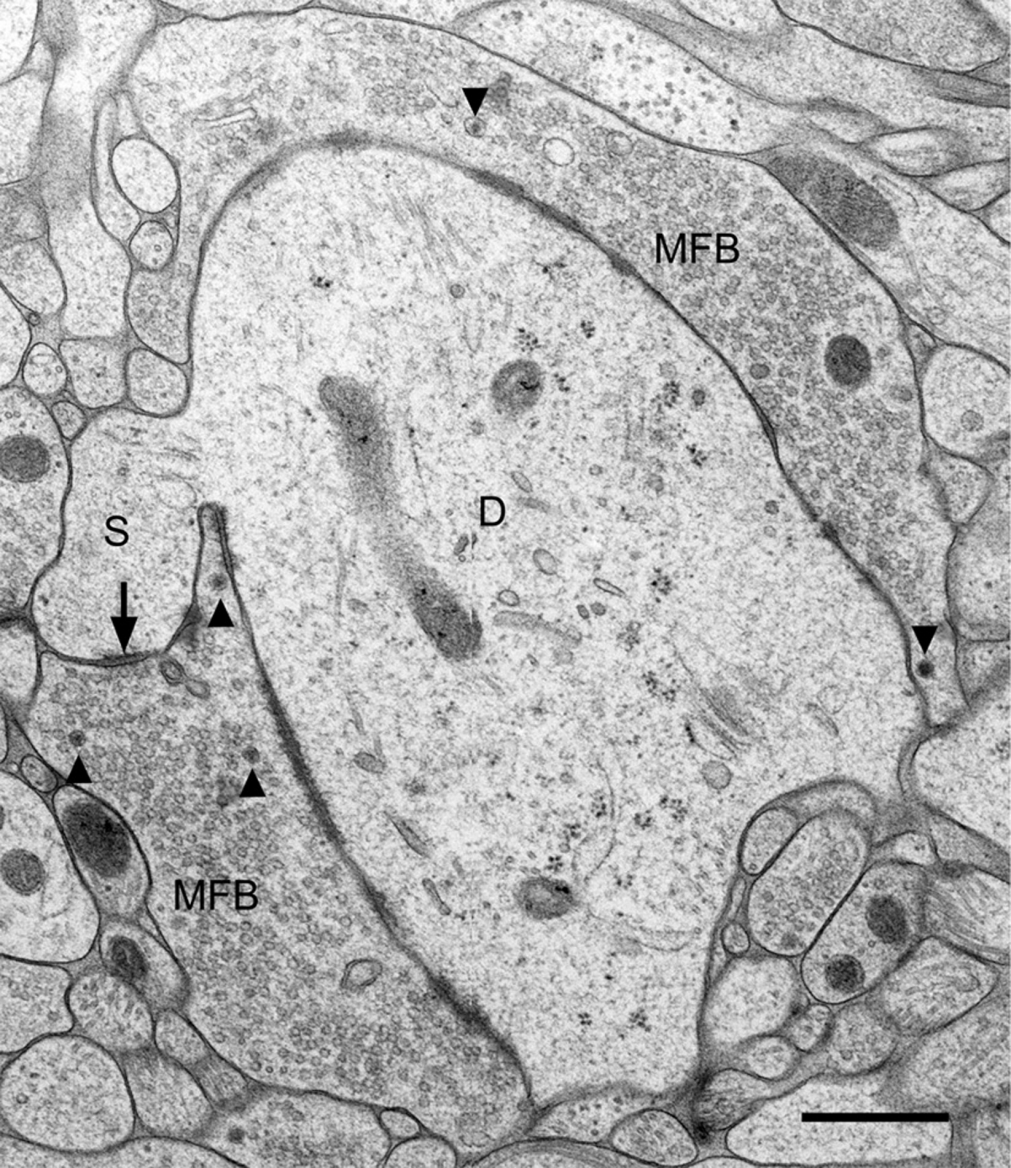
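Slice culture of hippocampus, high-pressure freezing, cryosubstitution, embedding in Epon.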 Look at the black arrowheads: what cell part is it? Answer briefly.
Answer: dense-core vesicles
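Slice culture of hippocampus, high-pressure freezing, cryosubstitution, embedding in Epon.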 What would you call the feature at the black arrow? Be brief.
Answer: Synaptic contact.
